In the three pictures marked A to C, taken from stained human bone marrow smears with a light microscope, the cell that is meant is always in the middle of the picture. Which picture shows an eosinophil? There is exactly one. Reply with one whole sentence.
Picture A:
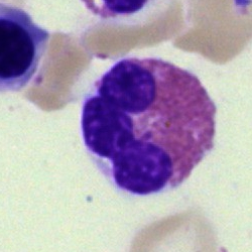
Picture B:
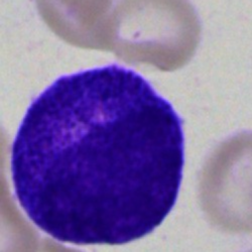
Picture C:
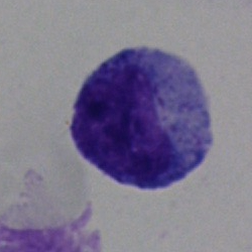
It is picture A that shows the eosinophil.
